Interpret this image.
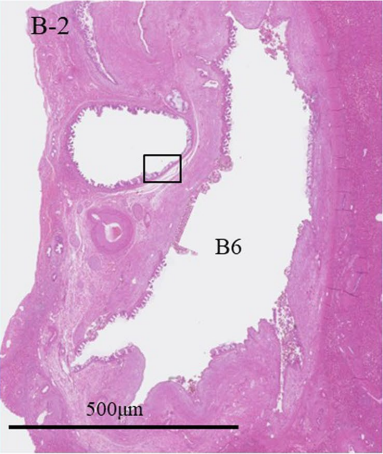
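Low-power view of markedly dilated bile ducts within a pink fibrous wall at the edge of liver tissue. Two large, irregular lumens are empty and white. Their lining epithelium is not flat but forms small, delicate papillary and sessile projections along much of the circumference, giving the inner surface a scalloped, fringed outline. The duct walls are thick, composed of pale pink fibrous stroma containing small vessels, including a muscular artery seen in cross-section between the lumens. Liver parenchyma is visible along the right side. Individual cell detail is not resolvable at this magnification.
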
